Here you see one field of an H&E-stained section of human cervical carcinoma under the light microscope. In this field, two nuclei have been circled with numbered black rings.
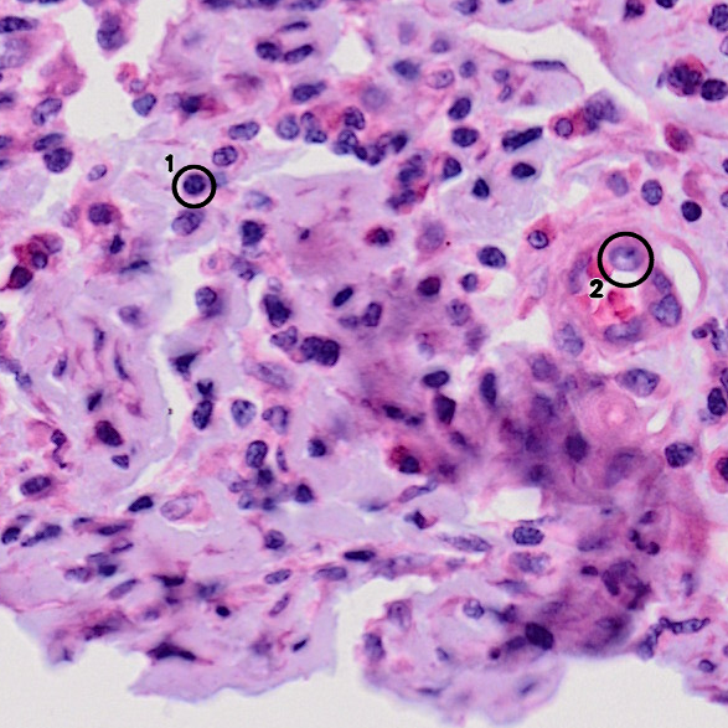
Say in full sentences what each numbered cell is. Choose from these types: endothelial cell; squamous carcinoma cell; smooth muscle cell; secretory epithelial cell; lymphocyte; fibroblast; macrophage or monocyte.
Cell 1 is a lymphocyte and cell 2 is an endothelial cell.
